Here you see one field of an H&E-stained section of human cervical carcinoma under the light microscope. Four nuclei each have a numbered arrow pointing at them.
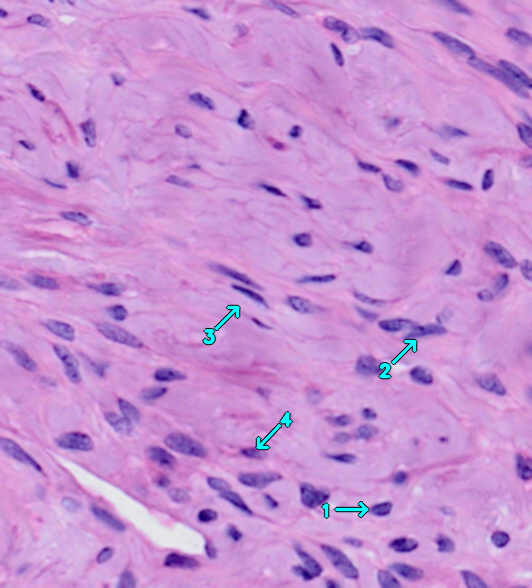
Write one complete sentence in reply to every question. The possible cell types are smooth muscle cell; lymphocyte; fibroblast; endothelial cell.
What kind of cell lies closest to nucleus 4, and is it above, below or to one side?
The closest nucleus belongs to a fibroblast and sits below nucleus 4.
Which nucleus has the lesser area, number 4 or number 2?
It is nucleus 4; nucleus 2 has about 2.5 times its area.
